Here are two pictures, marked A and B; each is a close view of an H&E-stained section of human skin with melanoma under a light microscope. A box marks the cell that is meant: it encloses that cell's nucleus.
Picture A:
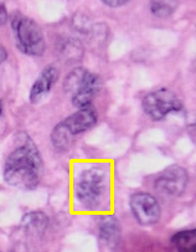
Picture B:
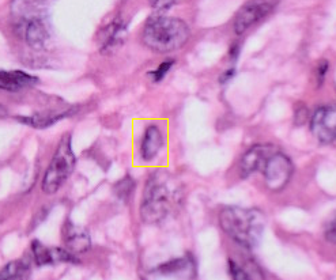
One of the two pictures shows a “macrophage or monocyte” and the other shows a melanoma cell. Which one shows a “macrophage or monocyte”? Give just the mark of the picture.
B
